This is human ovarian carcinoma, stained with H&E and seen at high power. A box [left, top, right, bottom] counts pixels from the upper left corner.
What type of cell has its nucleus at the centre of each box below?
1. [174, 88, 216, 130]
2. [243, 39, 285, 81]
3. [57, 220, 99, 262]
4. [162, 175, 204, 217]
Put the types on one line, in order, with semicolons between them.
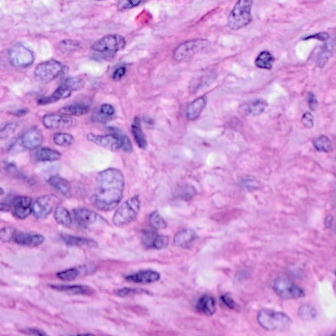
fibroblast; lymphocyte; fibroblast; fibroblast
